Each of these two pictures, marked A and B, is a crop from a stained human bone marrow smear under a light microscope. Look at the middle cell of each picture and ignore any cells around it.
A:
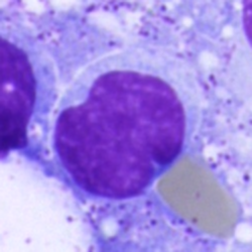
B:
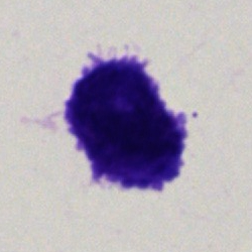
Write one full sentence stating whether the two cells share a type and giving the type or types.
Yes, the cells found in the middle of both crops are blasts.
